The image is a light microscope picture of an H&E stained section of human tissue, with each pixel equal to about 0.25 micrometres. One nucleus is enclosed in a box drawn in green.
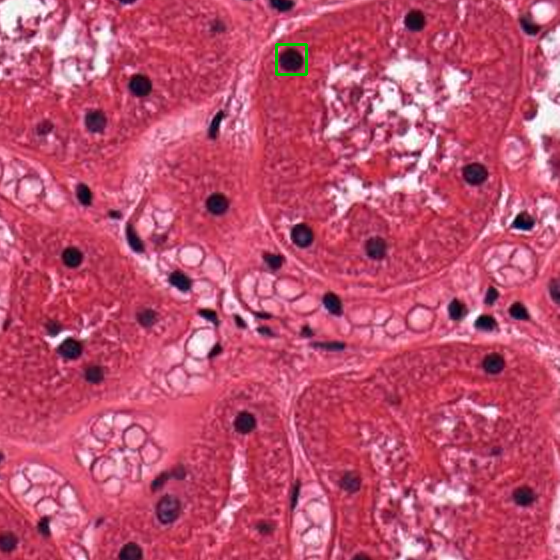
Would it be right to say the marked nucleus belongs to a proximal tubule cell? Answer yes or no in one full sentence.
Yes, the marked nucleus is the nucleus belonging to a proximal tubule cell.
